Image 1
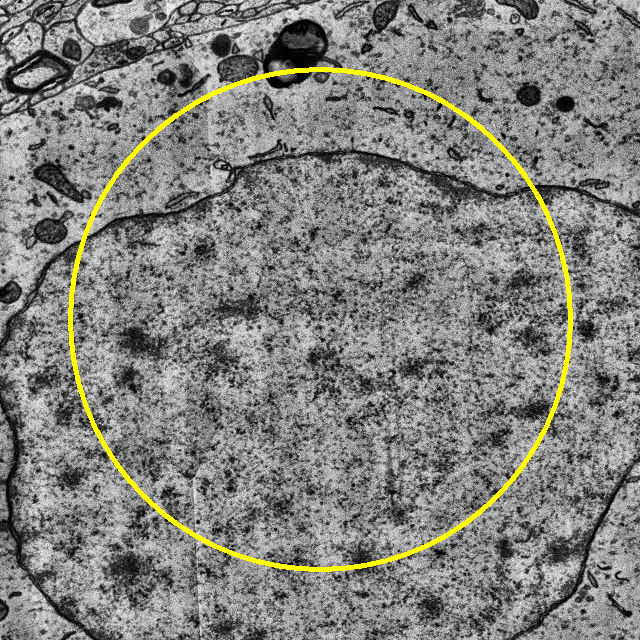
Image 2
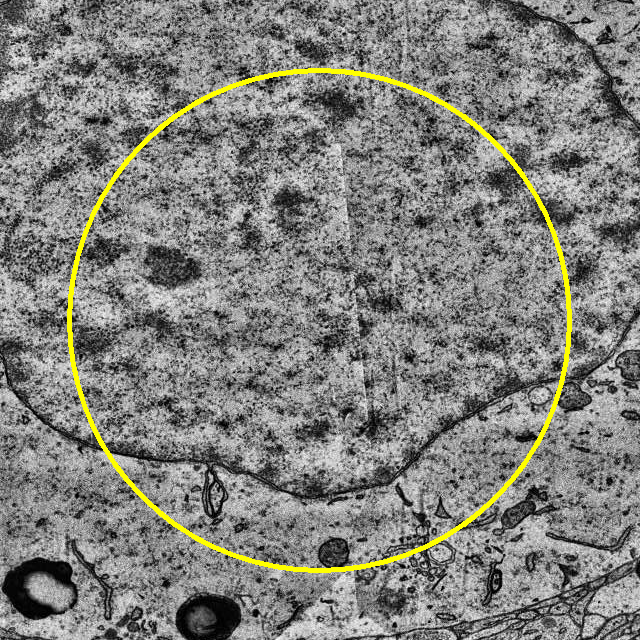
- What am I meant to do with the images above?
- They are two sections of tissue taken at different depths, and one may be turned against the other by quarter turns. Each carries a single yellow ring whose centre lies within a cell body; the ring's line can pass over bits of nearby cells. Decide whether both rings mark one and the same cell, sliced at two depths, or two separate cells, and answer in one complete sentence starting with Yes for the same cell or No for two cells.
Yes, both yellow rings were placed on the same cell.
